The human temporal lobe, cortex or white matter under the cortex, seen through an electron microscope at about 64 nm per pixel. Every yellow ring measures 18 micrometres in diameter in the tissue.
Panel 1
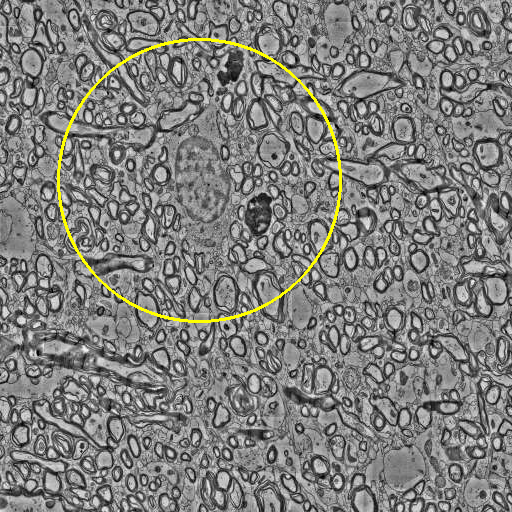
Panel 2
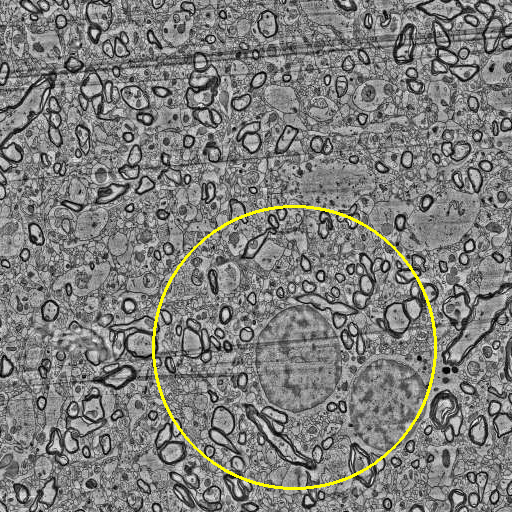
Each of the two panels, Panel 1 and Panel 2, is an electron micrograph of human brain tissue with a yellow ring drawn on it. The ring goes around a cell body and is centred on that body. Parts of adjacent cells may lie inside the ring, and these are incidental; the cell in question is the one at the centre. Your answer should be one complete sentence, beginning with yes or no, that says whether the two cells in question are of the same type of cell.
Yes, the two cells are of the same type.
